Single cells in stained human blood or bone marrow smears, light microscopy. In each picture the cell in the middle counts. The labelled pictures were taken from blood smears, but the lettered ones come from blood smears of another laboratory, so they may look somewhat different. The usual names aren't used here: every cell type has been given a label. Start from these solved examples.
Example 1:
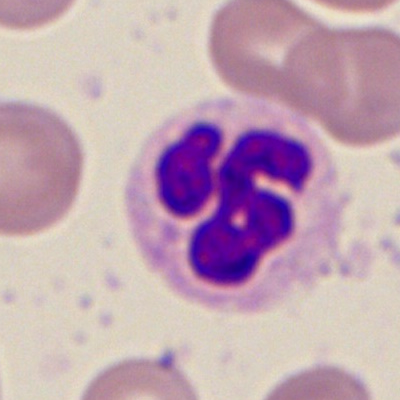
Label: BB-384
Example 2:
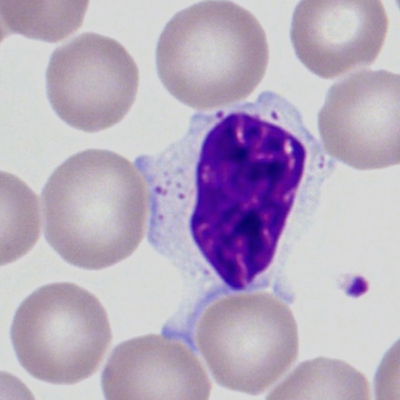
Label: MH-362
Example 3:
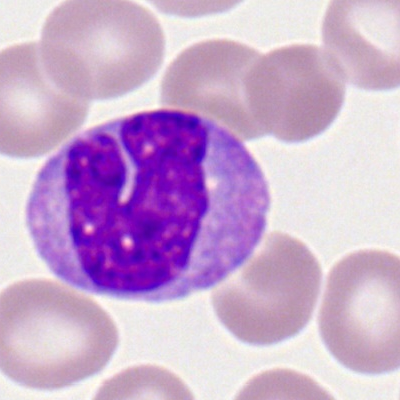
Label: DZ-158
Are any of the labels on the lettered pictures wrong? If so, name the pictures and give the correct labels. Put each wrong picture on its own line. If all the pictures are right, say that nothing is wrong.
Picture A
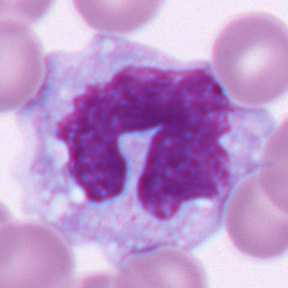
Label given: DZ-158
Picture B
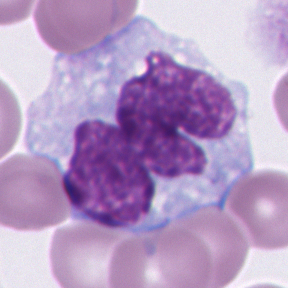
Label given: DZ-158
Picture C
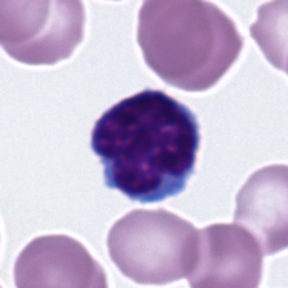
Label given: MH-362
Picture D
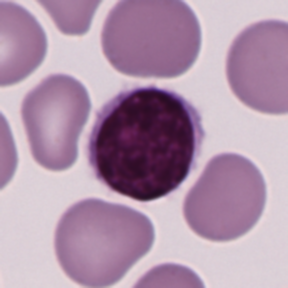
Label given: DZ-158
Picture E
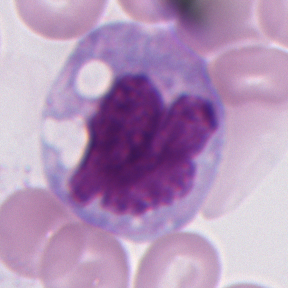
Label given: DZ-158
D: change DZ-158 to MH-362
